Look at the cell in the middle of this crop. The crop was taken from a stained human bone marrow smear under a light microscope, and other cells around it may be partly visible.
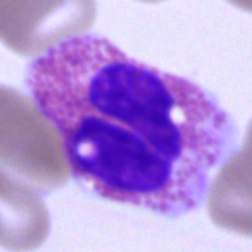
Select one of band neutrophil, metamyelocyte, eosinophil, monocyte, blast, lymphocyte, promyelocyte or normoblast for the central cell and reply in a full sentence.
This crop has an eosinophil at its centre.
